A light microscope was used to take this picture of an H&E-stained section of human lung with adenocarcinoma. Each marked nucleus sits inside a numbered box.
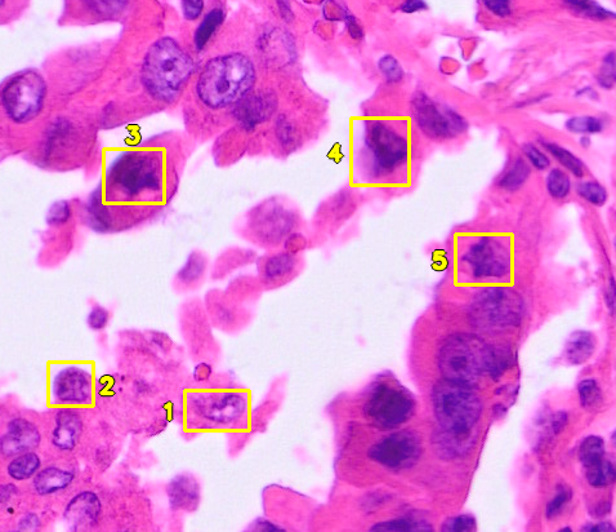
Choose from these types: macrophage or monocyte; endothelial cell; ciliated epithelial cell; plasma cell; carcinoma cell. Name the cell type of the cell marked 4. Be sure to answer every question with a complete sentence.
The cell referred to as 4 is a carcinoma cell.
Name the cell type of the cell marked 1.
Cell 1 is classified as a macrophage or monocyte.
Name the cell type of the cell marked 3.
The label 3 in this section denotes a carcinoma cell.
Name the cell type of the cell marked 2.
The numeral 2 marks a macrophage or monocyte in this section.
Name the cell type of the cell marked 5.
Classified as a carcinoma cell is the cell with the number 5.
